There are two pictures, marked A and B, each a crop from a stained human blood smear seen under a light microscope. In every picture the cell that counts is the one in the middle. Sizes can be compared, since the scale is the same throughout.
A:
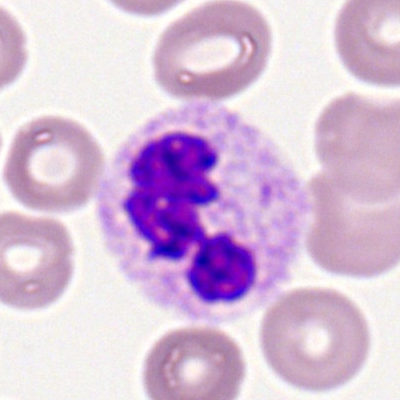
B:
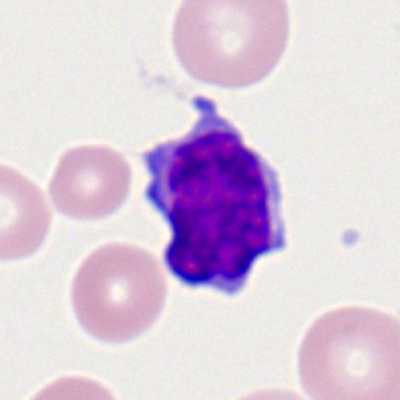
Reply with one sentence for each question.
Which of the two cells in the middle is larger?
Larger is the cell in crop A, at roughly 2 times the area of the other.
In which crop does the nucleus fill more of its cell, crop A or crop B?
The nucleus fills more of the cell in crop B than in crop A.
